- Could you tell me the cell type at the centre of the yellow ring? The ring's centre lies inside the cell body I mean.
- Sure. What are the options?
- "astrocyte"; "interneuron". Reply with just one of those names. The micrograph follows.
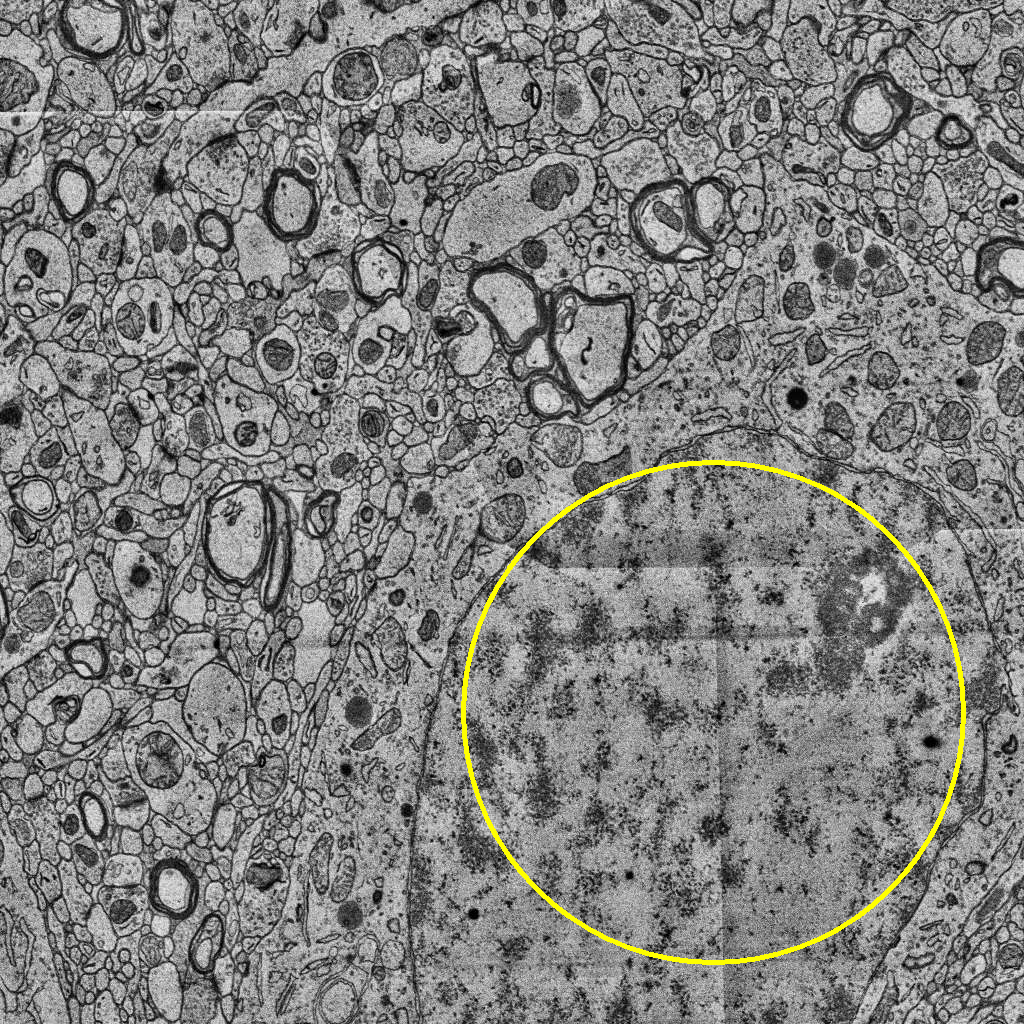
interneuron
